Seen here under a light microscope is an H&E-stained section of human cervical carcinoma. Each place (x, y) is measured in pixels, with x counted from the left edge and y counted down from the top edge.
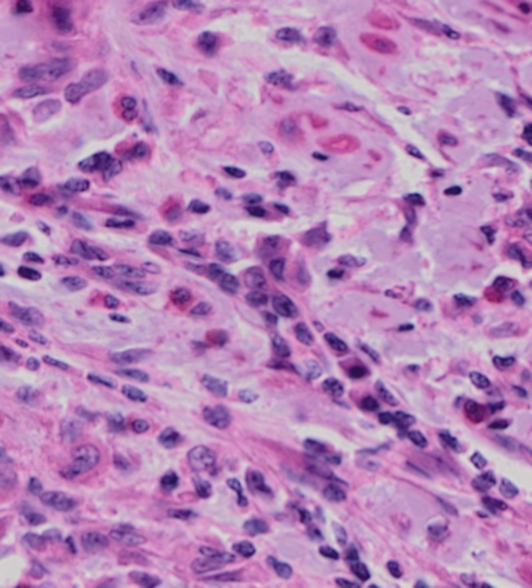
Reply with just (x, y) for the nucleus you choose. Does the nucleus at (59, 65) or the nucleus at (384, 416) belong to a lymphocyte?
(384, 416)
